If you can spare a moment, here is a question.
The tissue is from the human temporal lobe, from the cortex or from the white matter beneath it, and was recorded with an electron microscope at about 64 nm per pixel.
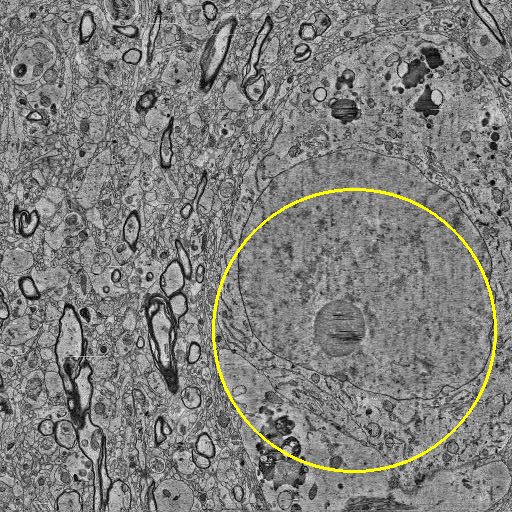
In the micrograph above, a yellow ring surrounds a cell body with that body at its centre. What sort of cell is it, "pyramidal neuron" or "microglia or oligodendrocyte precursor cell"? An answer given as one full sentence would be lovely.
Centred inside the yellow ring, the cell body shown belongs to a pyramidal neuron in this micrograph.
